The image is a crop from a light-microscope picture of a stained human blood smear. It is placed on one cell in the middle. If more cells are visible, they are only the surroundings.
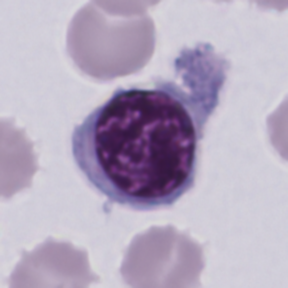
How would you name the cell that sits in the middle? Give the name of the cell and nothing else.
plasma cell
